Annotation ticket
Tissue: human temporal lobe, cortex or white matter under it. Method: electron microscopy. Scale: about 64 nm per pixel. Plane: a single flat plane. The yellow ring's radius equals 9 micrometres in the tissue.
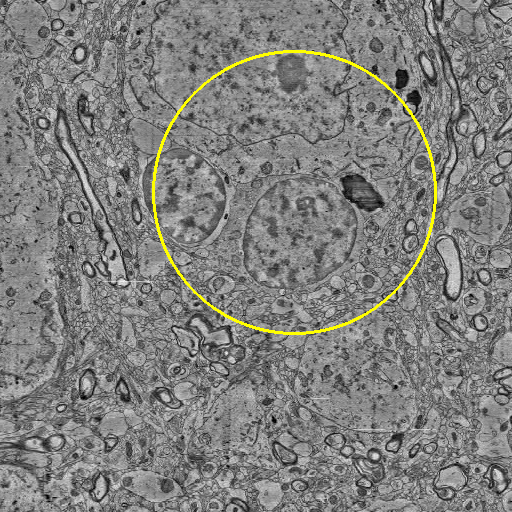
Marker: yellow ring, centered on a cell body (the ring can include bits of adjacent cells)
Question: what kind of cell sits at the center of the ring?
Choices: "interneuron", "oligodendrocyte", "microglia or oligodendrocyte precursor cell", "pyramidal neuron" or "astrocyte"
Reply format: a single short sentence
The ring is centered on an oligodendrocyte.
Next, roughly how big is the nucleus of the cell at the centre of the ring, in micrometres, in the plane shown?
Approximately 8 micrometres long and 7 micrometres wide, in this plane.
